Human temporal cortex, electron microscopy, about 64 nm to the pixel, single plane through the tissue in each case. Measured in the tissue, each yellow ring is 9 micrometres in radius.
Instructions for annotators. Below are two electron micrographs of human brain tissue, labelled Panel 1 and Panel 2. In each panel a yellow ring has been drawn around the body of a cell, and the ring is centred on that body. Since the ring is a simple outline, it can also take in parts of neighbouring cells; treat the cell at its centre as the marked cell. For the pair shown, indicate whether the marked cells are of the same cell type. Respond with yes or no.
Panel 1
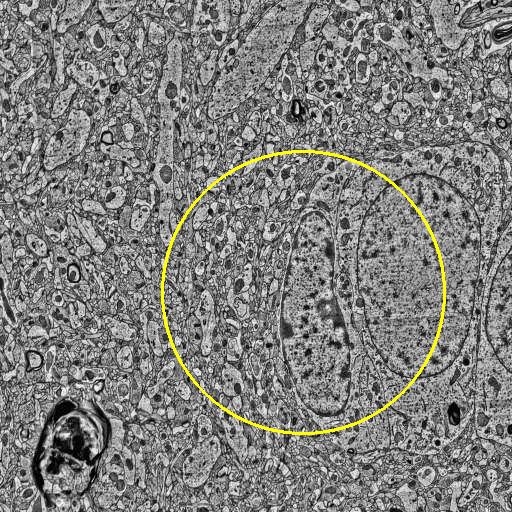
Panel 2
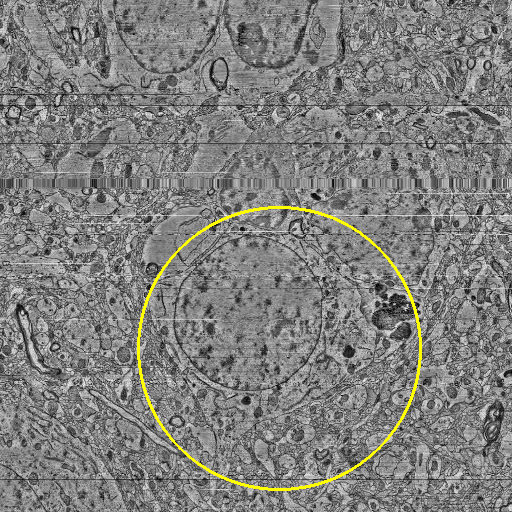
no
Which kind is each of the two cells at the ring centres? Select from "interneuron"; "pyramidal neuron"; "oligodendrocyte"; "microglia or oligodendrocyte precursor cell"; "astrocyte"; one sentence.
The cell at the centre of the ring is a microglial cell or oligodendrocyte precursor cell in the first picture and a pyramidal neuron in the second.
